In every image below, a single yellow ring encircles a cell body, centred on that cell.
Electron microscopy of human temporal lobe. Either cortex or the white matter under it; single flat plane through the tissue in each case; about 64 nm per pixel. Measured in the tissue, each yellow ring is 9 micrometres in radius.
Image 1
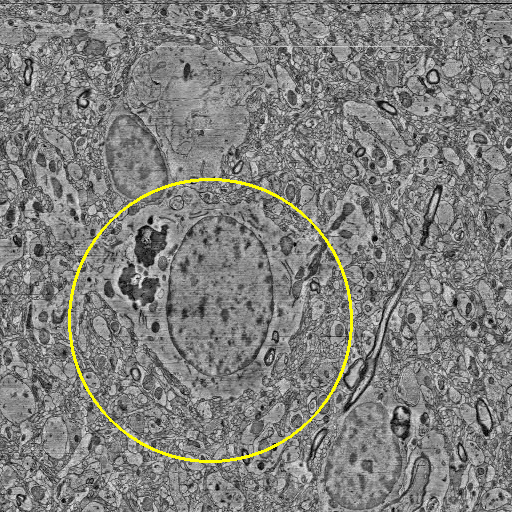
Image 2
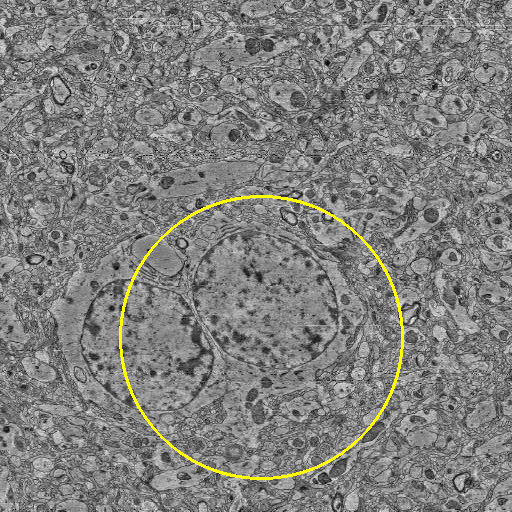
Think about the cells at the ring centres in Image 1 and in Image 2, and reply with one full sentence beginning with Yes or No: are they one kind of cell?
Yes, the cells centred in the rings of Image 1 and Image 2 are one kind of cell.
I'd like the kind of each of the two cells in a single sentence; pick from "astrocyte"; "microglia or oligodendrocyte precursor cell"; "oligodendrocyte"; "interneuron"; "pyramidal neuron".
Each of the ringed cells, first and second, is an astrocyte.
